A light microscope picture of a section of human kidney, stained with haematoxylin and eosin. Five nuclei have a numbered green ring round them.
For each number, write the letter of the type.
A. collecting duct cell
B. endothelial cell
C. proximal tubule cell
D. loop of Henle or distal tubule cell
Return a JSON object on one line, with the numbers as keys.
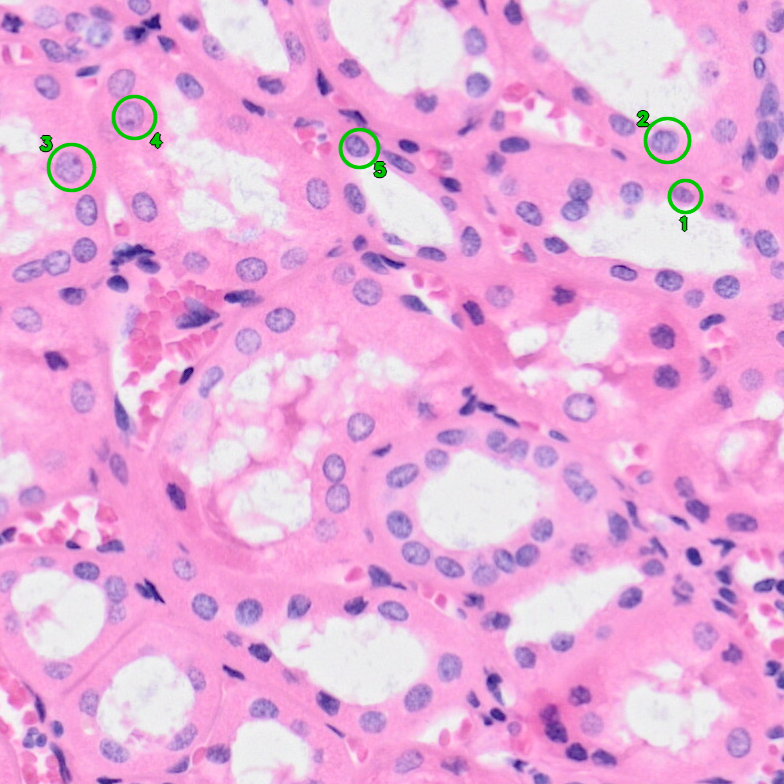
{"1": "D", "2": "D", "3": "C", "4": "C", "5": "A"}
